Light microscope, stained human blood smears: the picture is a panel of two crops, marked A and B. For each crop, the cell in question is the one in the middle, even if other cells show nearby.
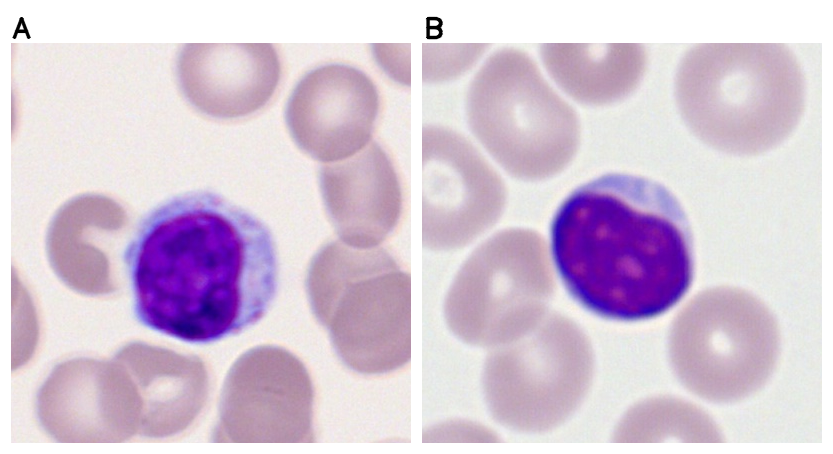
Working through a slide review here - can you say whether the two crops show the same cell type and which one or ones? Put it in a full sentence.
Yes, the same answer goes for both crops, namely lymphocytes.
